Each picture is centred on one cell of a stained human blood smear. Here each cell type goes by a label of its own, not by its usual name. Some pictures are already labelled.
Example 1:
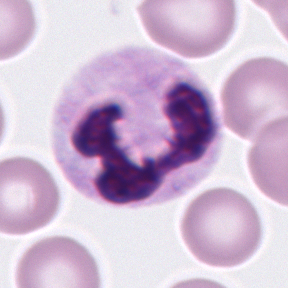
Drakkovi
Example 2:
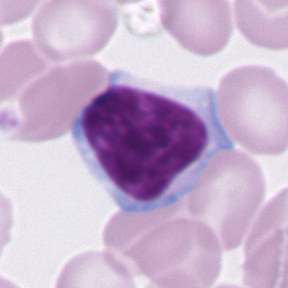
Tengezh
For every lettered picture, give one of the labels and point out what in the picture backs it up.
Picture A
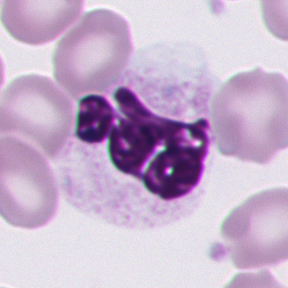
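Drakkovi: The nucleus is divided into several separate lobes.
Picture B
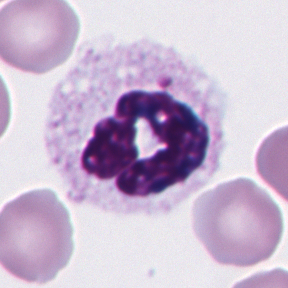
Drakkovi: A broad rim of pale pink-lilac cytoplasm surrounds the nucleus.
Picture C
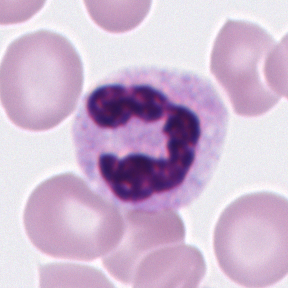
Drakkovi: The lobed nucleus curves around in a C-shape whose open side faces left.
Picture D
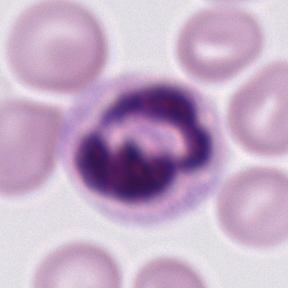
Drakkovi: The nucleus curves around a pale central area of cytoplasm.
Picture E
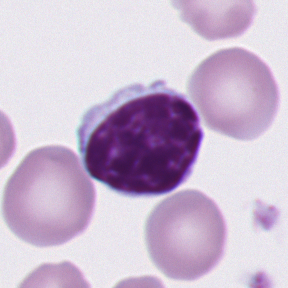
Tengezh: The cytoplasm forms only a thin rim, seen mainly along the upper-left side of the nucleus.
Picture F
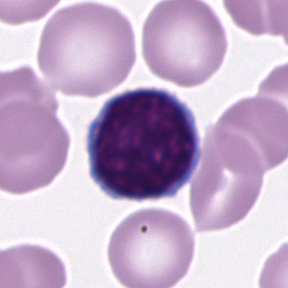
Tengezh: The cytoplasm forms only a thin rim around the nucleus.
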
